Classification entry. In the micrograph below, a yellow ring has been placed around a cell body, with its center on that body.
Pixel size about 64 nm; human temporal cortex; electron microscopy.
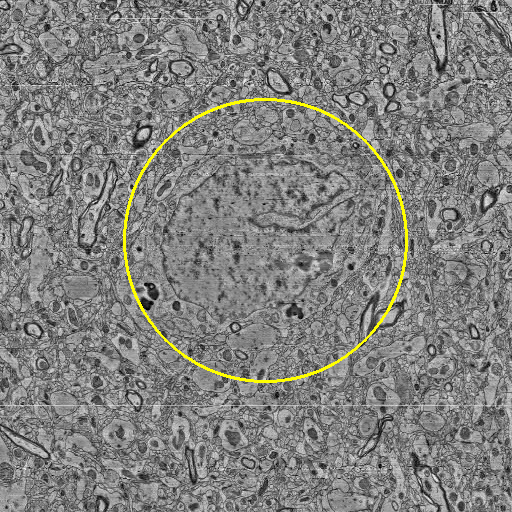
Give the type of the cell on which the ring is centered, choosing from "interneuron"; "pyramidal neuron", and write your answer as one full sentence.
The cell body at the center of the yellow ring belongs to an interneuron.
